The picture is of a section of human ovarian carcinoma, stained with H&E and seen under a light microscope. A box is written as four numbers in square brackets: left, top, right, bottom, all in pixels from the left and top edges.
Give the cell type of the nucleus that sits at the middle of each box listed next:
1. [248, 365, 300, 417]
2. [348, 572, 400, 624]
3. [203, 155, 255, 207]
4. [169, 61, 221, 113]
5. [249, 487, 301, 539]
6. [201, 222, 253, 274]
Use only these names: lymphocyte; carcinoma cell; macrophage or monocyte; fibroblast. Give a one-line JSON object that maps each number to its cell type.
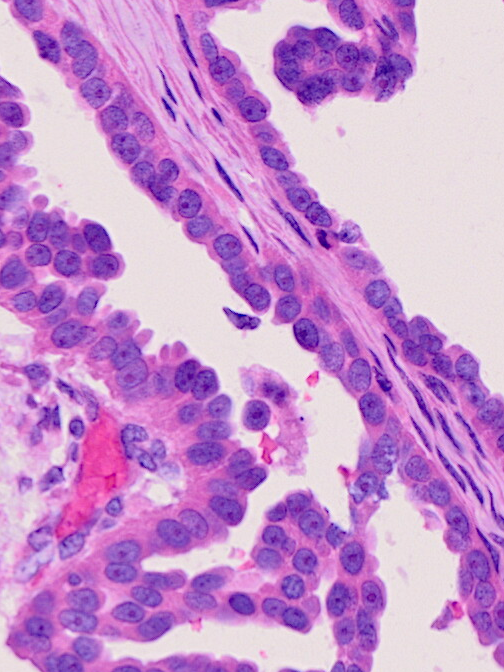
{"1": "macrophage or monocyte", "2": "carcinoma cell", "3": "fibroblast", "4": "fibroblast", "5": "carcinoma cell", "6": "carcinoma cell"}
